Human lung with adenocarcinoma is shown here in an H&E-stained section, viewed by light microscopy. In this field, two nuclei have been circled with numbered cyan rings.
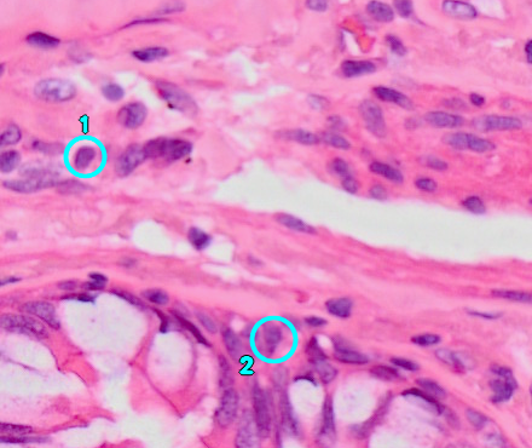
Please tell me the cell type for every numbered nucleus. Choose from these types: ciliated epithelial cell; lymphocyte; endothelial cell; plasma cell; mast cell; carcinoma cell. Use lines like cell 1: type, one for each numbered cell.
cell 1: lymphocyte
cell 2: ciliated epithelial cell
